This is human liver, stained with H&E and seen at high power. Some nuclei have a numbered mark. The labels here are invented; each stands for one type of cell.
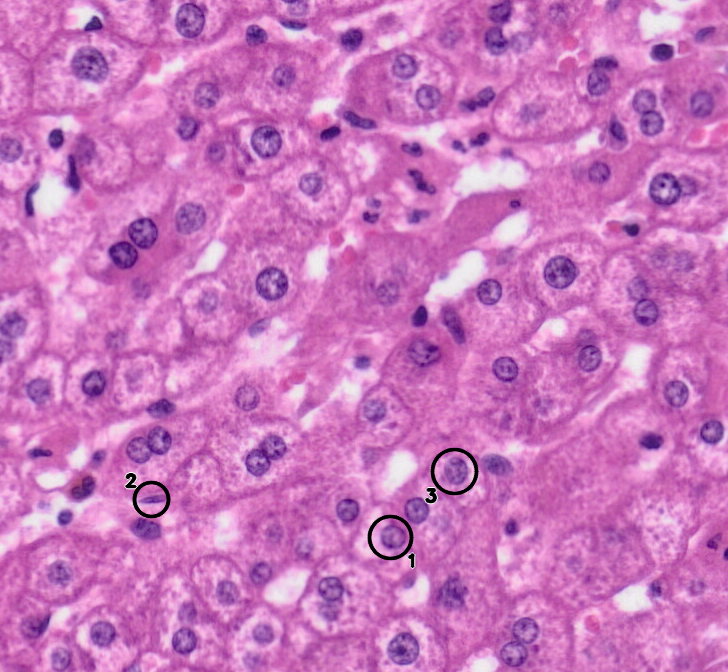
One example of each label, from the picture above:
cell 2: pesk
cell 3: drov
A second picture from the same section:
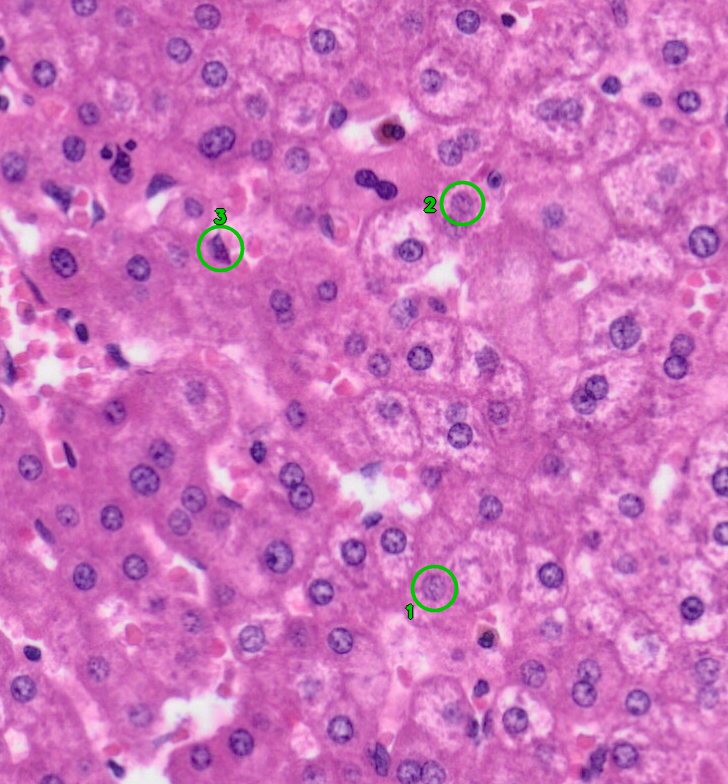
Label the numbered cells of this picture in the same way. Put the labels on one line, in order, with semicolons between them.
drov; drov; pesk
